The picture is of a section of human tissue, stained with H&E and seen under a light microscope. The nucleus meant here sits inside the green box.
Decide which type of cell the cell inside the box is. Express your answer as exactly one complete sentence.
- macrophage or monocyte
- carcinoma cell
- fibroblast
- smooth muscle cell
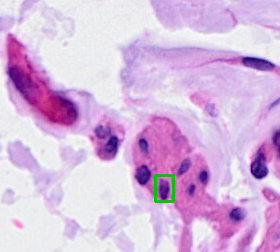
For the purposes of cell typing, the cell inside the box is categorized as a smooth muscle cell.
